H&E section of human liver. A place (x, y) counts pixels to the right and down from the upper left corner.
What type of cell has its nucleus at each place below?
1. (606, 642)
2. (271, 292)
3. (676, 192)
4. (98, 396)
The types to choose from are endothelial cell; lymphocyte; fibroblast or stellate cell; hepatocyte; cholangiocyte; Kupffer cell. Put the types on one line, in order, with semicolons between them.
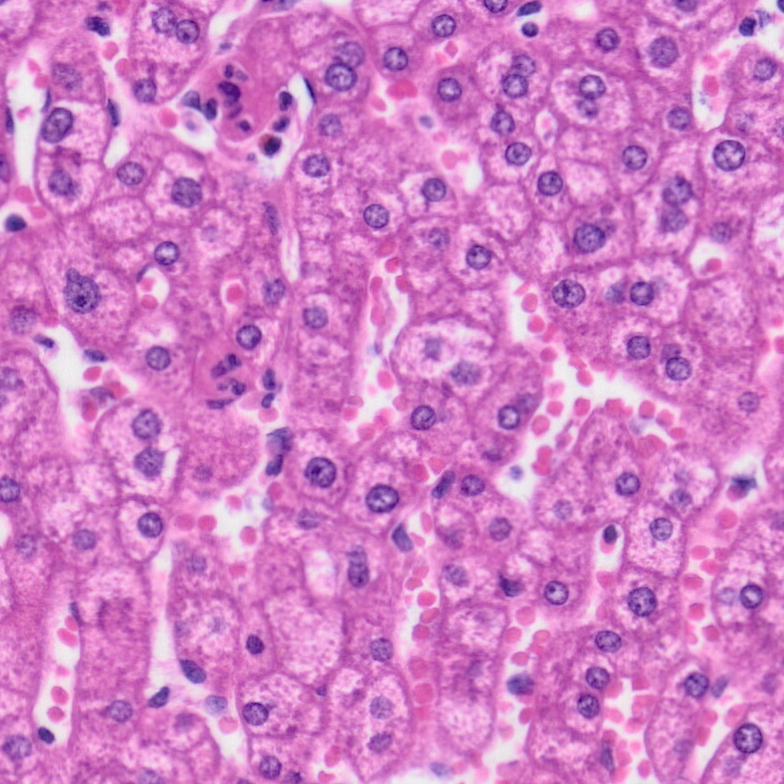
hepatocyte; hepatocyte; hepatocyte; Kupffer cell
